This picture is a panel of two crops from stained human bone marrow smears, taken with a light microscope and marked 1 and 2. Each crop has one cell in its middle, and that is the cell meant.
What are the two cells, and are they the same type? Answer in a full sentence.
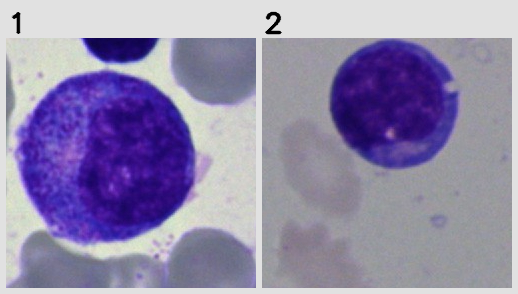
No, a blast is in crop 2, and a promyelocyte is in crop 1.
